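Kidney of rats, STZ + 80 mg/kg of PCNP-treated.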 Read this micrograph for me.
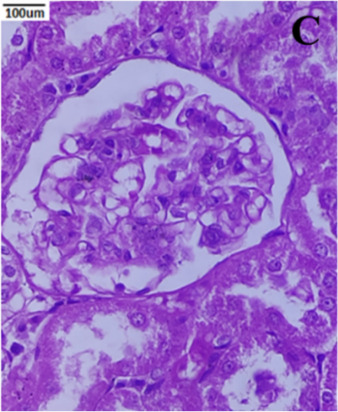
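The glomerular tuft consists of lobulated, thin-walled capillary loops with scattered dark purple nuclei, separated from the thin capsule by a clear, open space. Around it, tubules are lined by cuboidal epithelial cells with round, centrally placed nuclei and pink-purple granular cytoplasm; their lumens are open and contain faint pale material. Small elongated nuclei lie in the narrow interstitium between the tubules. Overall the architecture of the glomerulus and tubules is orderly.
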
